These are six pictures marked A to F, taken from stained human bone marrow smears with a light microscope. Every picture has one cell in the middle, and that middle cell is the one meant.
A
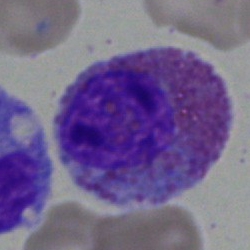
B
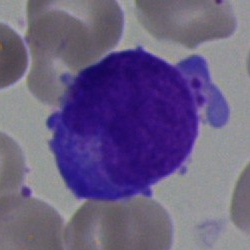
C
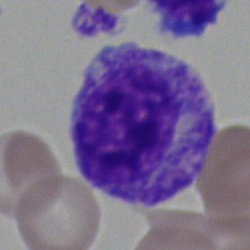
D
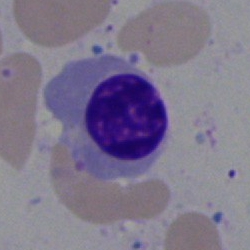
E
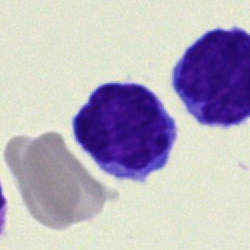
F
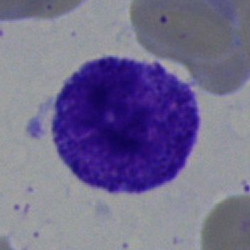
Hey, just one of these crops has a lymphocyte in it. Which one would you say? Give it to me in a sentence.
Crop E is the crop whose central cell is a lymphocyte.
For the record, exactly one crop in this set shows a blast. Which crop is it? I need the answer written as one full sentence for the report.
Crop B is where a blast is to be found.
